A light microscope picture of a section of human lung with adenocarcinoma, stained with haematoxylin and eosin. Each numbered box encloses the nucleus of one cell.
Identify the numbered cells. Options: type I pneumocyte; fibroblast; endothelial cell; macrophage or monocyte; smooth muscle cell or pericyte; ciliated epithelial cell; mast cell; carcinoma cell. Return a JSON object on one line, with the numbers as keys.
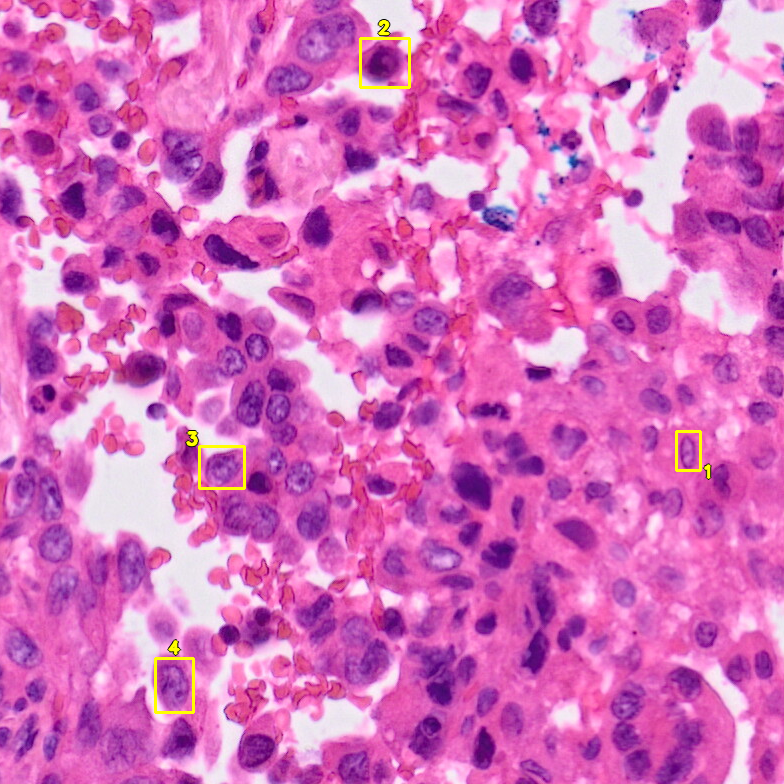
{"1": "macrophage or monocyte", "2": "carcinoma cell", "3": "carcinoma cell", "4": "carcinoma cell"}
